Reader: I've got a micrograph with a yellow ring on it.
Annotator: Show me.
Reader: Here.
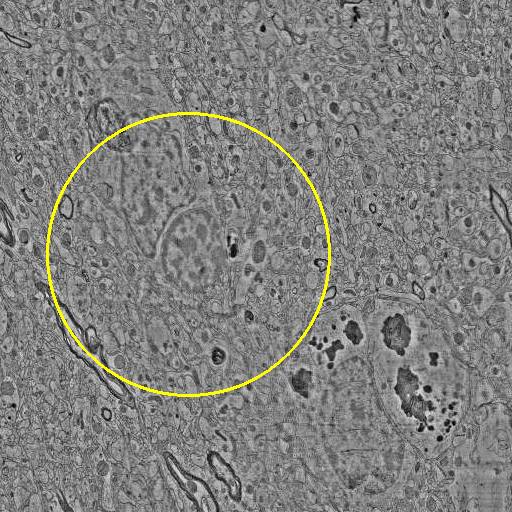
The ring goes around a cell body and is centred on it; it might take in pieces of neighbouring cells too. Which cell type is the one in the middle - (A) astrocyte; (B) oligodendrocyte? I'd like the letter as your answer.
B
